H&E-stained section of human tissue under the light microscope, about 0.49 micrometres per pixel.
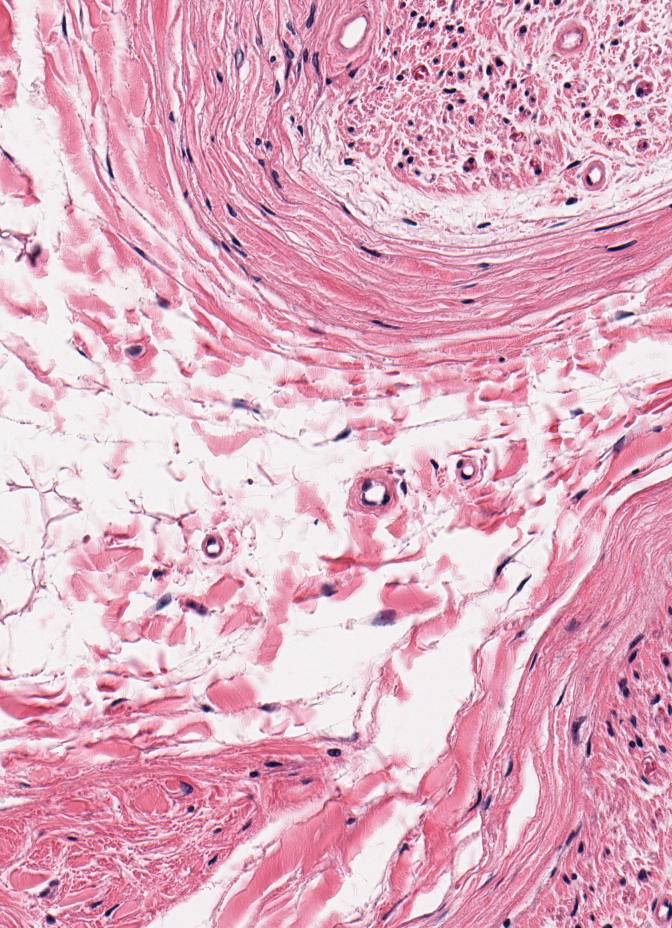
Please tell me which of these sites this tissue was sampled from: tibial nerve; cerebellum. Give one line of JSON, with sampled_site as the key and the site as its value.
{"sampled_site": "tibial nerve"}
